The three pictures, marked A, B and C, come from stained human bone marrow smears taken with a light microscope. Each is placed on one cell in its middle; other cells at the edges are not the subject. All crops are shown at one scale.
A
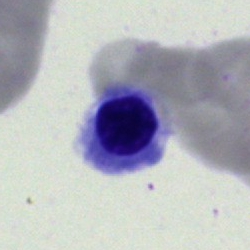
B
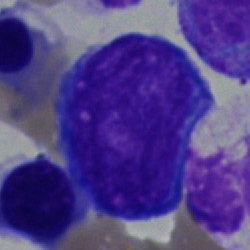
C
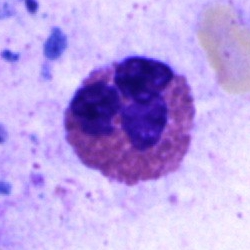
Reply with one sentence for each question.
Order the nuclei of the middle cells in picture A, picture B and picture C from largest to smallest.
The order is B, C, A, beginning with the largest.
